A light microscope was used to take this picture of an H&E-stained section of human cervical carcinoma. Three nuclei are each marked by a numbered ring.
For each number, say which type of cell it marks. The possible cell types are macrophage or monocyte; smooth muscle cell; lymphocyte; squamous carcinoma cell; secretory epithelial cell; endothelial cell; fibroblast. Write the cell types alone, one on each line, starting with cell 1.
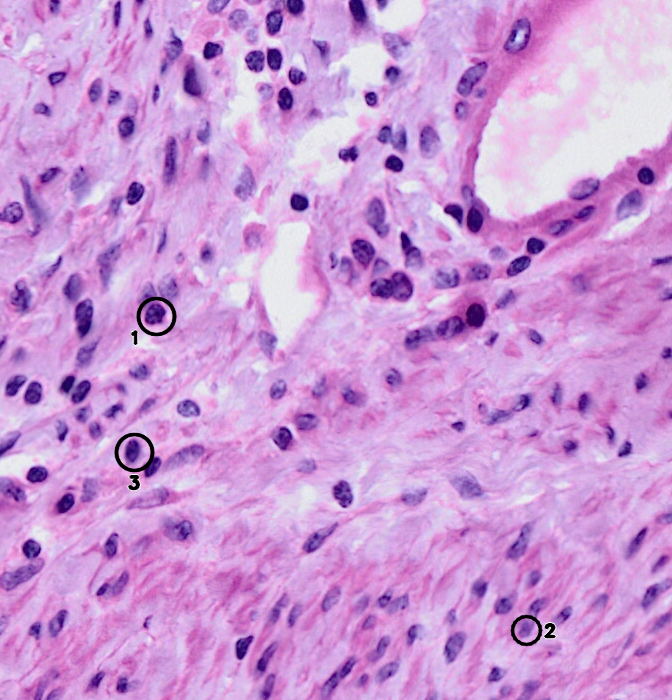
lymphocyte
smooth muscle cell
lymphocyte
